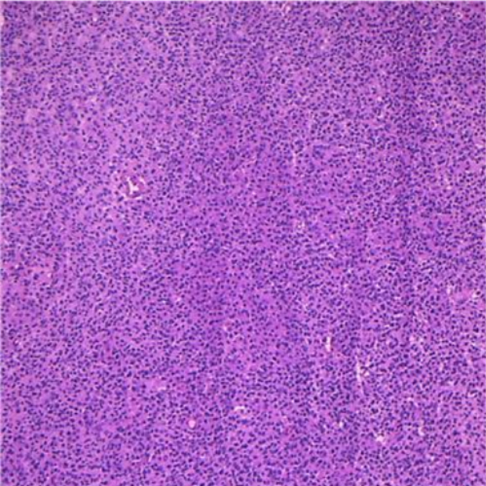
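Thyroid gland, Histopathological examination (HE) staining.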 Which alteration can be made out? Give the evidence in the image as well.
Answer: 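Sheets of densely packed small cells with dark round nuclei fill the whole field. No normal gland structure interrupts the cell sheet. So: lymphoproliferative lesions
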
